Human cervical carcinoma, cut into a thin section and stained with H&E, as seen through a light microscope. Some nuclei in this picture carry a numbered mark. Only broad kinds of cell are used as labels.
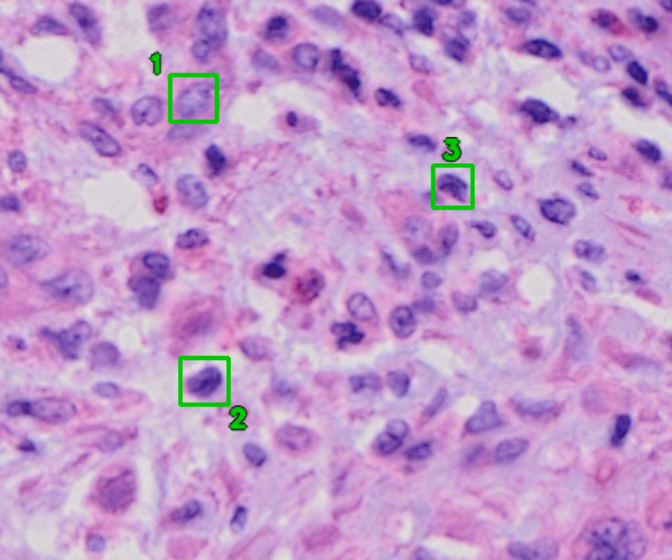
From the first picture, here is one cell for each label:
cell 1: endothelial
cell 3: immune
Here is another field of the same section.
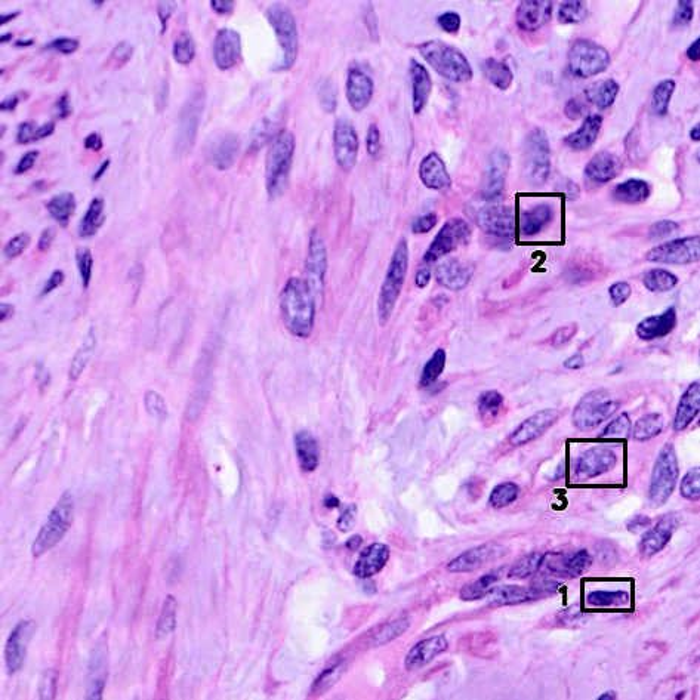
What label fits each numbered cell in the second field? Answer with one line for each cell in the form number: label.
1: immune
2: immune
3: endothelial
